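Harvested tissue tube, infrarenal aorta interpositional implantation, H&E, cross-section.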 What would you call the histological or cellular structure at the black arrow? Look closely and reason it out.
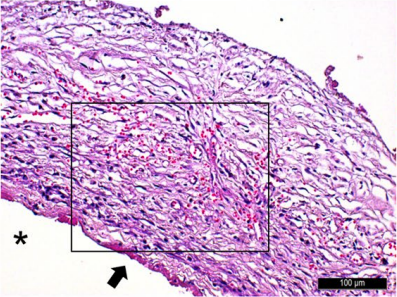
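A thin, deeper red-pink layer lines the edge of the wall where the arrow points. This layer lies on the side facing the empty space.
Partial thrombus.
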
